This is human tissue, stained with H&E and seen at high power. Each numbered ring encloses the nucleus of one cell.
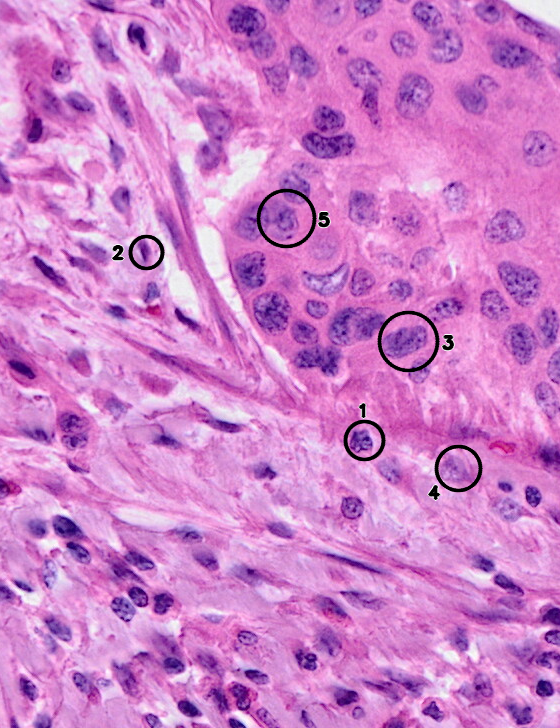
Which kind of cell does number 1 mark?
lymphocyte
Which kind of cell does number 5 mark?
squamous carcinoma cell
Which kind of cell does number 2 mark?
fibroblast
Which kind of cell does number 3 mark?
squamous carcinoma cell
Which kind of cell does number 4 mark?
fibroblast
